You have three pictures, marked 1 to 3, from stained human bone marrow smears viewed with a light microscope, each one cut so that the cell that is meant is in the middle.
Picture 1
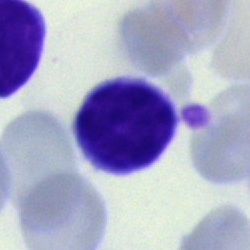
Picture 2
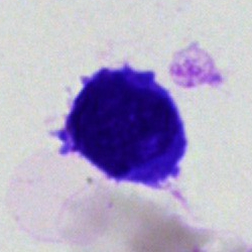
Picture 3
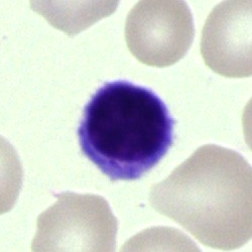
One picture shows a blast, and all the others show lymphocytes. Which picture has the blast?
2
